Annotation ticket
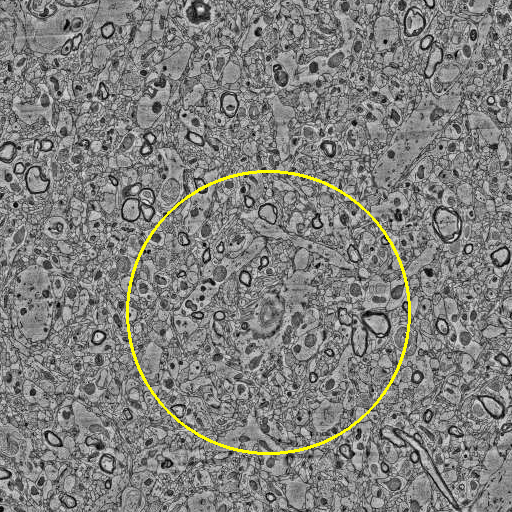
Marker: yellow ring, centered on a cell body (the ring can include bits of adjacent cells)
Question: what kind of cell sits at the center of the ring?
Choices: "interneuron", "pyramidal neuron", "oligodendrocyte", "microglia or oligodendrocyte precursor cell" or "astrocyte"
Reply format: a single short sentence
The ring is centered on an oligodendrocyte.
